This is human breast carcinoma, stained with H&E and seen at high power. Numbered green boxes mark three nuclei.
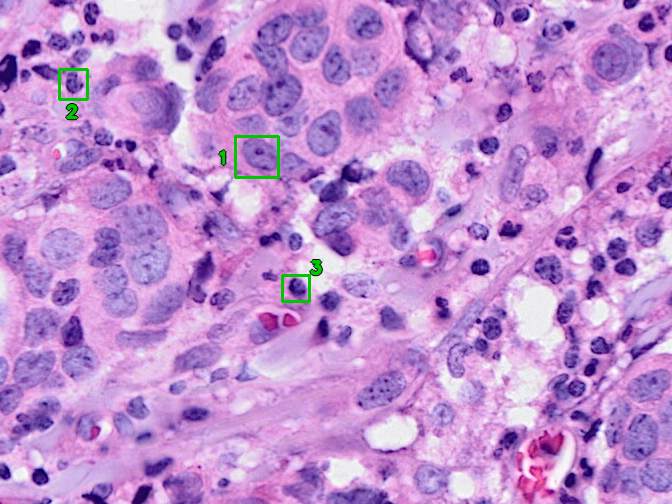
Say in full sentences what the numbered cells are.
Cell 1 is a carcinoma cell. Cells 2 and 3 are lymphocytes.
